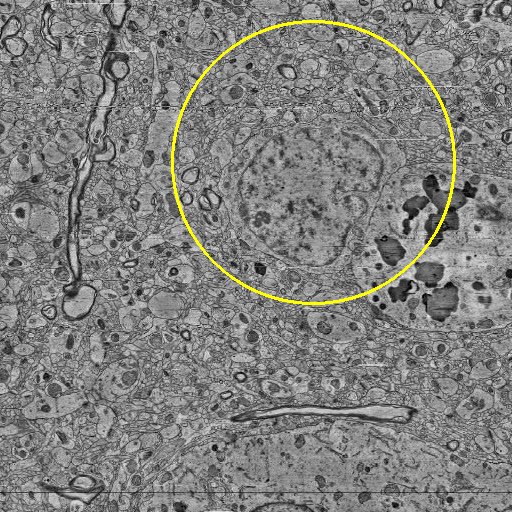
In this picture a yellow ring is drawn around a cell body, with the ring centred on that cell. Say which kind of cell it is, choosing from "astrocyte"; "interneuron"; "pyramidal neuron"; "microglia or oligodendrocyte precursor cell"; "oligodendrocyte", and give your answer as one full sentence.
Here it is an interneuron that sits at the centre of the drawn yellow ring.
